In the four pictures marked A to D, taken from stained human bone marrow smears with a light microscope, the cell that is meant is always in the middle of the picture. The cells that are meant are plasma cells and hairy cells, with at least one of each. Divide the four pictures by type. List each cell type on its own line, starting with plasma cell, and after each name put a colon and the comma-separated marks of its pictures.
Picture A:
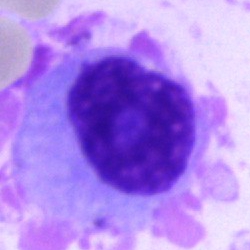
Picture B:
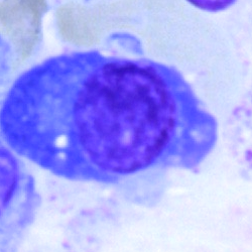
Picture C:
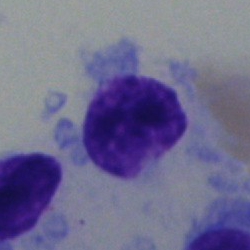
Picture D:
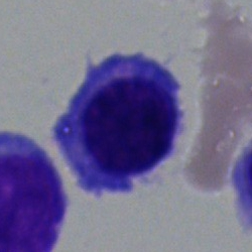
plasma cell: A, B, D
hairy cell: C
